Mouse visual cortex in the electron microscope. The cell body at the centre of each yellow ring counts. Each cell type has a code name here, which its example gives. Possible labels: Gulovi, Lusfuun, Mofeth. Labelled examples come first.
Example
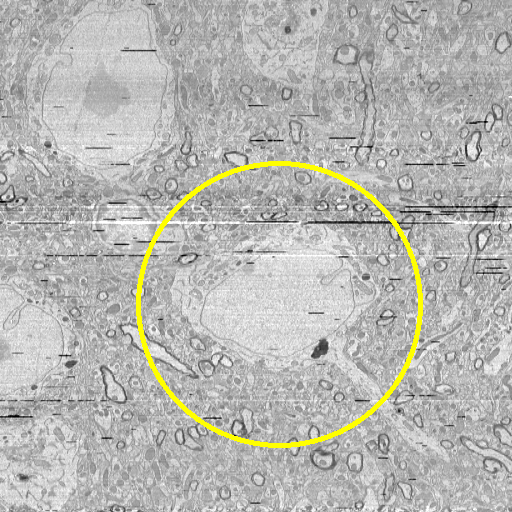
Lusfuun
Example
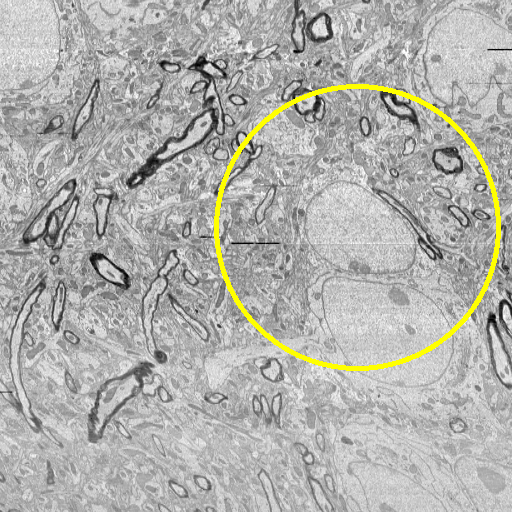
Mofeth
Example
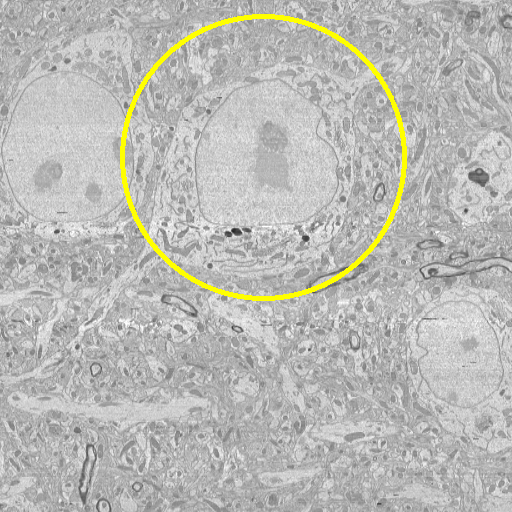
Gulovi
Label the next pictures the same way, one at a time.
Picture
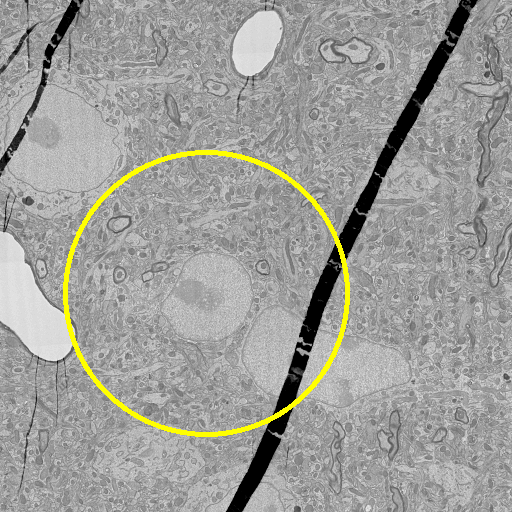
Mofeth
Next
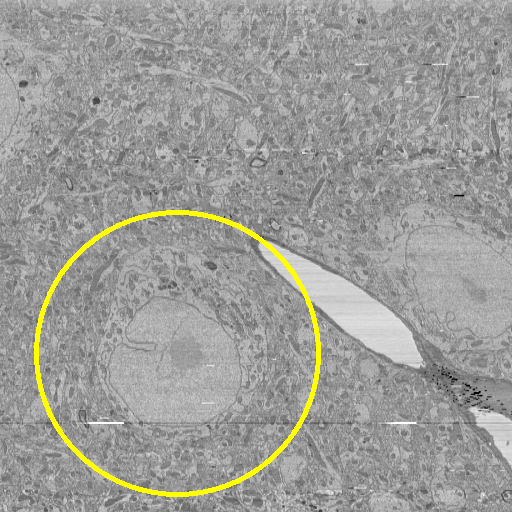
Gulovi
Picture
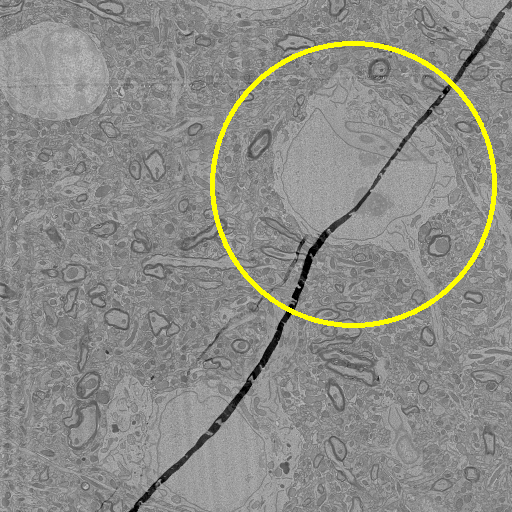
Lusfuun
